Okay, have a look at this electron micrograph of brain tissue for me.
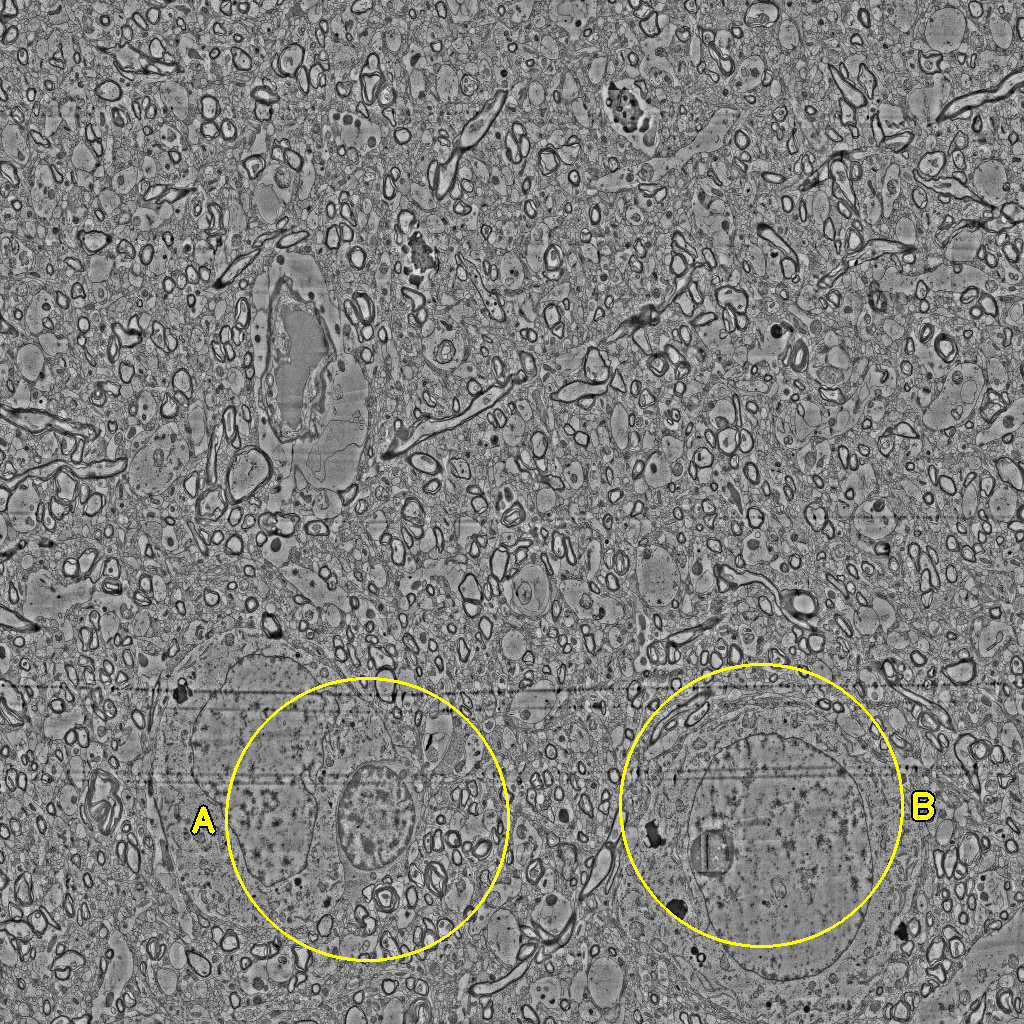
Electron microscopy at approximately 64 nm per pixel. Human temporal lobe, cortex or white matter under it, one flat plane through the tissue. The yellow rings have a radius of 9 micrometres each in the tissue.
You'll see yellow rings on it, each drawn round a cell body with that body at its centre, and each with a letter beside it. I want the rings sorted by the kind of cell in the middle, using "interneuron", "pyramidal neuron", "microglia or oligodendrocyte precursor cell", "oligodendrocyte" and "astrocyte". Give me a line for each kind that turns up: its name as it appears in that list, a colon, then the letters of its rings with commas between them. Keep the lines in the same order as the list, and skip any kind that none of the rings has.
pyramidal neuron: B
oligodendrocyte: A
